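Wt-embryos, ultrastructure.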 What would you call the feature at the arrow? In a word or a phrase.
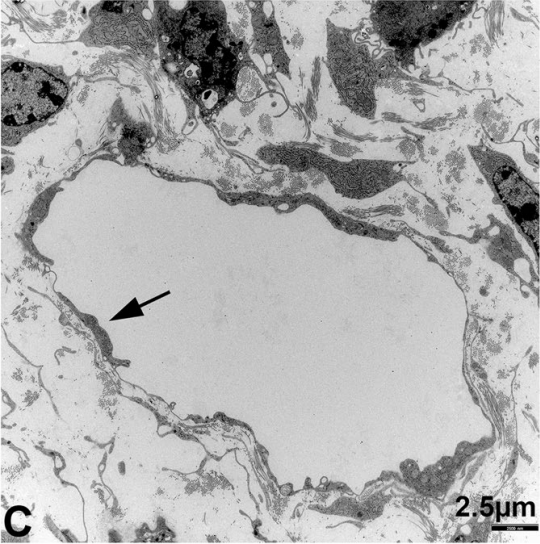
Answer: Valve-like junctions.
